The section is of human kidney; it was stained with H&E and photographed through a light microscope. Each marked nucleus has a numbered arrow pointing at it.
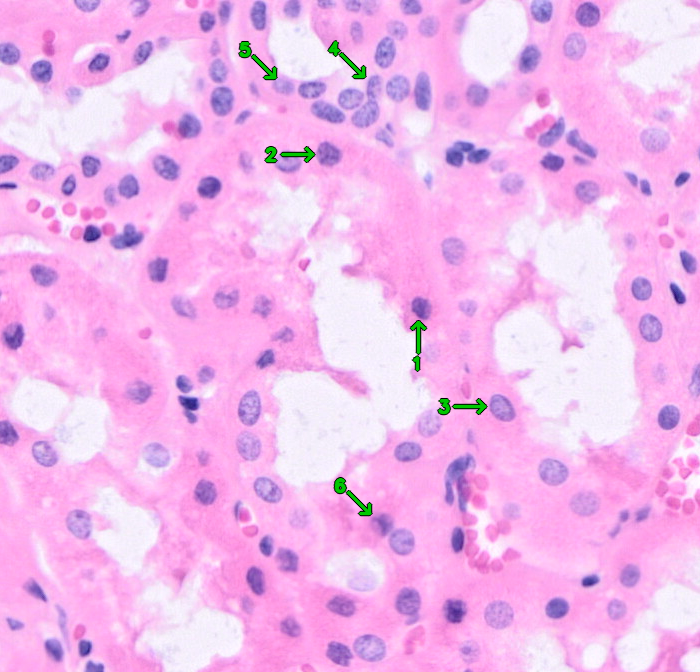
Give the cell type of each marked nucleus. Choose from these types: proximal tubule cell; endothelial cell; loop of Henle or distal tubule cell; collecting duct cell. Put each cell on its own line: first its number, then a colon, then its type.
1: proximal tubule cell
2: proximal tubule cell
3: proximal tubule cell
4: collecting duct cell
5: collecting duct cell
6: proximal tubule cell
